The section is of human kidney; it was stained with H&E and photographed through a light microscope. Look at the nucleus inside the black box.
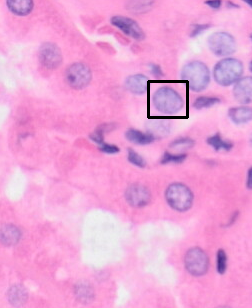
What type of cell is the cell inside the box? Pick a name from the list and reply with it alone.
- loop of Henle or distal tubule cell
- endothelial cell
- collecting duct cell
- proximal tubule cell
collecting duct cell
